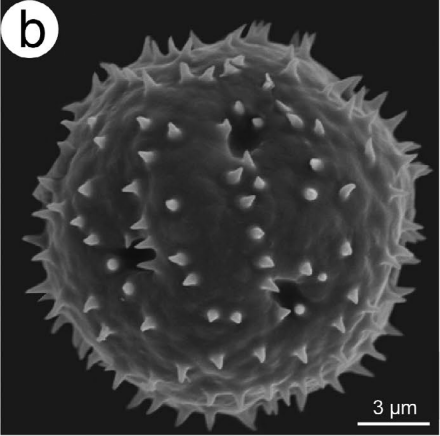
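This is a whole pollen grain seen by scanning electron microscopy, nearly spherical and covered all over with small, evenly spaced conical spines. The wall between the spines is smooth, and a few small dark openings, the apertures, are scattered over the surface.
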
